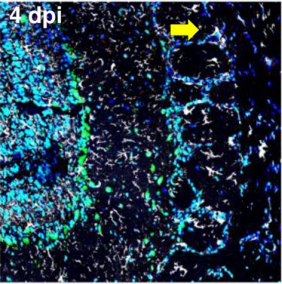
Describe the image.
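This field of the olfactory bulb shows, on the right, the glomerular layer as a column of round spheres outlined by rings of small blue-green nuclei. To the left lies a broad nucleus-poor band, then a thin line of green-stained cell bodies and a dense field of small nuclei. White microglia with branching processes are present, several sitting among and between the glomeruli. The microglia near the glomeruli look bulkier, with thicker processes. Little red label is visible.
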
